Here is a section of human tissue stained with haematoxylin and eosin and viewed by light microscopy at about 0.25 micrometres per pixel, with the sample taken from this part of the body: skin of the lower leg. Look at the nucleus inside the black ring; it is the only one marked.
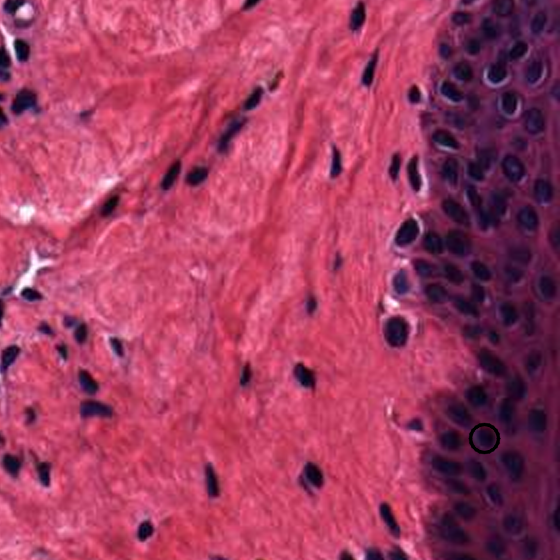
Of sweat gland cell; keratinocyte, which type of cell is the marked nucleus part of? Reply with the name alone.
keratinocyte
